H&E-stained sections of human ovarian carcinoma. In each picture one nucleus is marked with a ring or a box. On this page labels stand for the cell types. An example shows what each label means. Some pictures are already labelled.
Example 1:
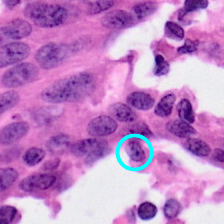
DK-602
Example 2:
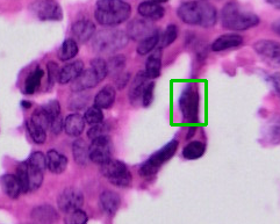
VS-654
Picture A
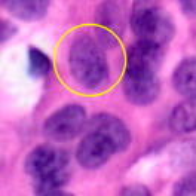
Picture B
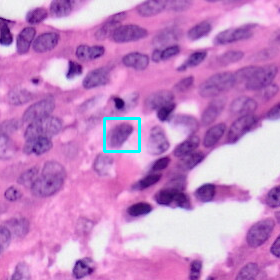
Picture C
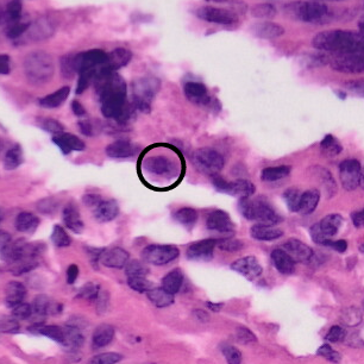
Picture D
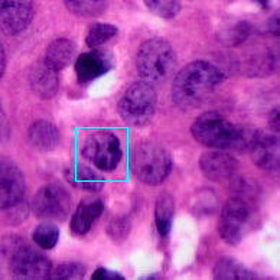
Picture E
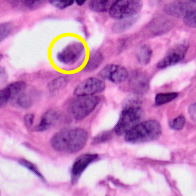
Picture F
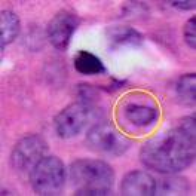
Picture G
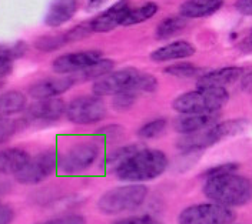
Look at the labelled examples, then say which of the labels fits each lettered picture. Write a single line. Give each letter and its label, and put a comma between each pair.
A VS-654, B DK-602, C VS-654, D DK-602, E VS-654, F DK-602, G VS-654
